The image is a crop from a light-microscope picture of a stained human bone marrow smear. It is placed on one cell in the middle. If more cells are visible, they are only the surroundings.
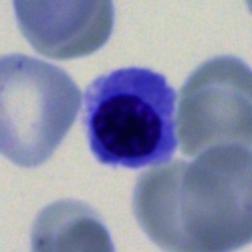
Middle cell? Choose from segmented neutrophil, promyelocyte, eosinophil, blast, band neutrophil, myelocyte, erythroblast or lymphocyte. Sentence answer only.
Centrally within this crop lies an erythroblast.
